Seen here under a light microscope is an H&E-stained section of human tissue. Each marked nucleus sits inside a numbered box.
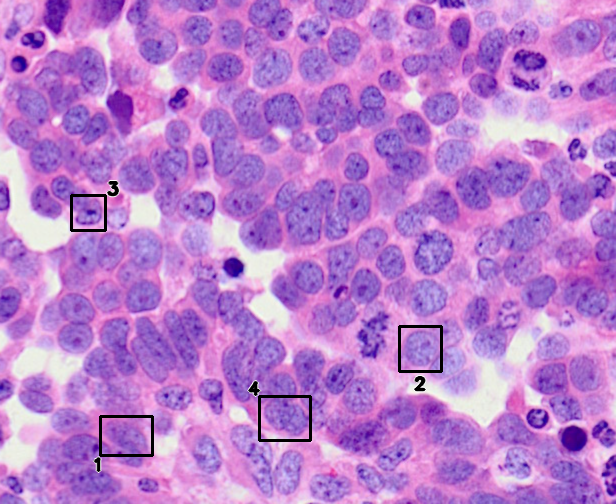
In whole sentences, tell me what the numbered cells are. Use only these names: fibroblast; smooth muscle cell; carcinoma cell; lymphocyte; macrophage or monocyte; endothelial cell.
Cells 1, 2 and 4 are carcinoma cells. Cell 3 is a macrophage or monocyte.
